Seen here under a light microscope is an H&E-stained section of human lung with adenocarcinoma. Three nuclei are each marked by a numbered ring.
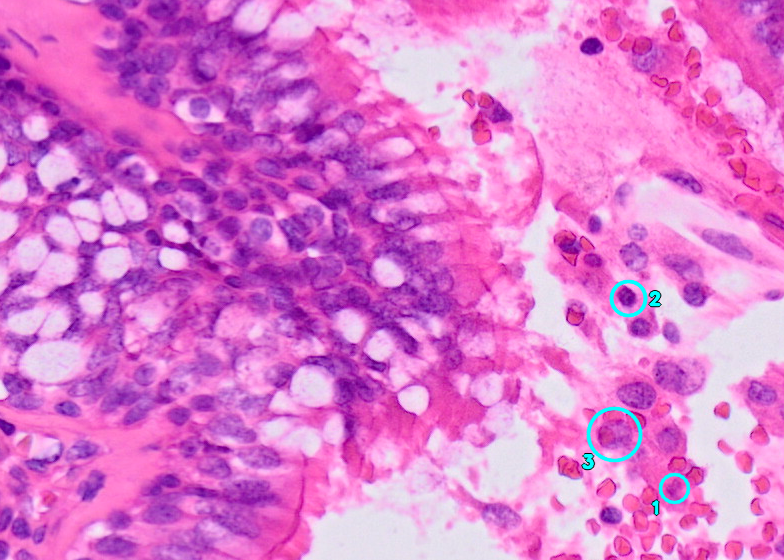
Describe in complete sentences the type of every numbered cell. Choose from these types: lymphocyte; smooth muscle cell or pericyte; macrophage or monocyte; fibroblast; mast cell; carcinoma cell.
Cells 1 and 3 are macrophages or monocytes. Cell 2 is a lymphocyte.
